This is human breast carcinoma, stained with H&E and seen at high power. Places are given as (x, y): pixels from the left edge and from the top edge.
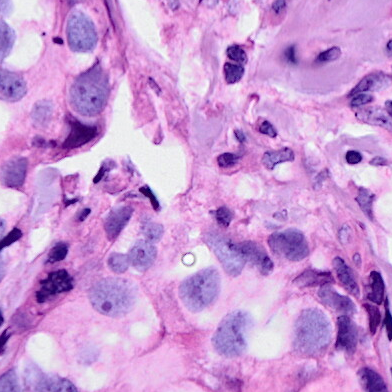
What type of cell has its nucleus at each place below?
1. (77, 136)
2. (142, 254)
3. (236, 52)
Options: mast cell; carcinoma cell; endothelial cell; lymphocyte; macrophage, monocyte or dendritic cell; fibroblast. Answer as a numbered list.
1. carcinoma cell
2. carcinoma cell
3. lymphocyte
